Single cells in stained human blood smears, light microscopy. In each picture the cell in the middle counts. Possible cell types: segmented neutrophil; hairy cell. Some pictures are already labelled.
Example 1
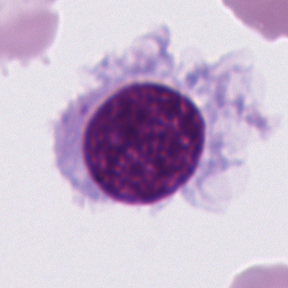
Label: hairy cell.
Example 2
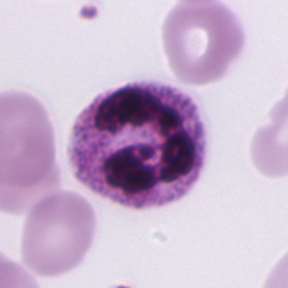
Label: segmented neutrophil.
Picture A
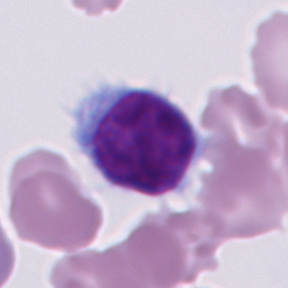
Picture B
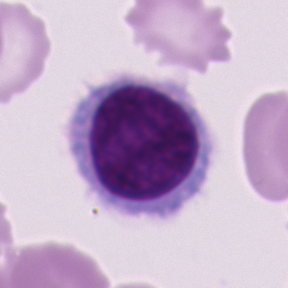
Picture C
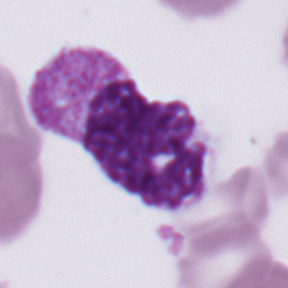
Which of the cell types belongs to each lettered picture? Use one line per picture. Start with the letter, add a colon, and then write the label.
A: hairy cell.
B: hairy cell.
C: segmented neutrophil.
